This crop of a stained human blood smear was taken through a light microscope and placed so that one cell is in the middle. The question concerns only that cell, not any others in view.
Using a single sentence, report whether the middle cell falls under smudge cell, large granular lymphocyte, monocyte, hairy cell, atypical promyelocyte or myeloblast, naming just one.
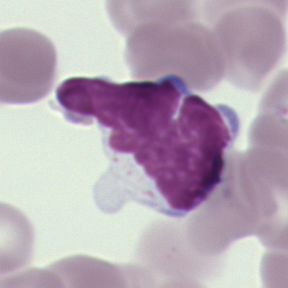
At the middle of the frame sits a large granular lymphocyte.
